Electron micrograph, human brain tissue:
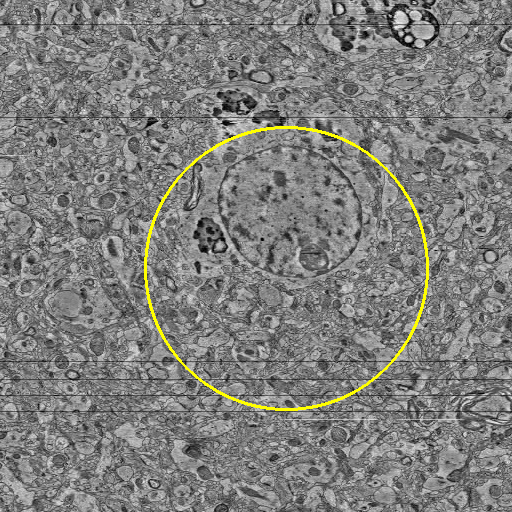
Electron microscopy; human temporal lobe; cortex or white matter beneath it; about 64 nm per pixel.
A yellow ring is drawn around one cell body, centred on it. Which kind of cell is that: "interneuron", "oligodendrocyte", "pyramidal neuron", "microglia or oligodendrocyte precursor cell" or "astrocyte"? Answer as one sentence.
It is an astrocyte at the centre of the ring.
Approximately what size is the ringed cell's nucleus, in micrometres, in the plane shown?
About 10 micrometres by about 8 micrometres in this plane.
